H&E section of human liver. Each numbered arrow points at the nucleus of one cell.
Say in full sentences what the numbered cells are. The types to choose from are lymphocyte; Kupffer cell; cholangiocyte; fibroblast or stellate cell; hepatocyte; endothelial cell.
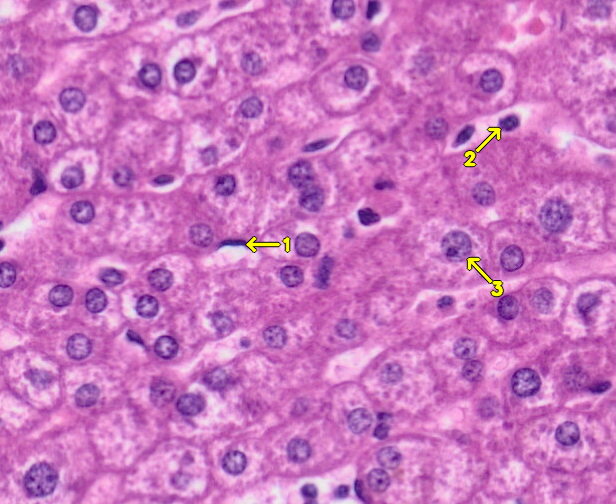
Cell 1 is an endothelial cell. Cell 2 is a lymphocyte. Cell 3 is a hepatocyte.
